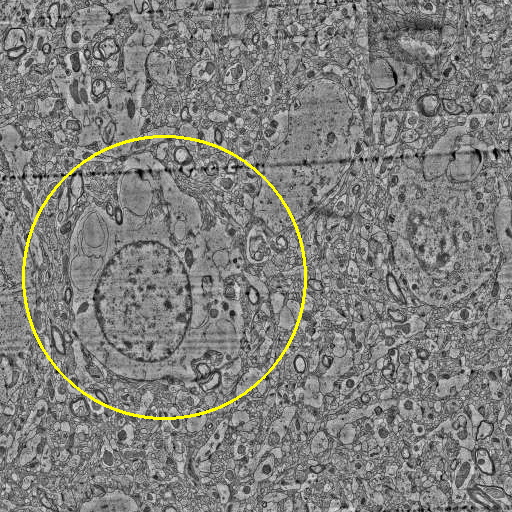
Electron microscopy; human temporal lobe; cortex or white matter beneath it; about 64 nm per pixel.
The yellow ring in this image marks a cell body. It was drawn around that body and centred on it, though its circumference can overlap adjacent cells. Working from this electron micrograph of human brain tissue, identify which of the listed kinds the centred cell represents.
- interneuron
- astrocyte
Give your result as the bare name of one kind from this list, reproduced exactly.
astrocyte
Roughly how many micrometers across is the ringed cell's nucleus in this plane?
About 8 by 6 micrometers for the nucleus, in this plane.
